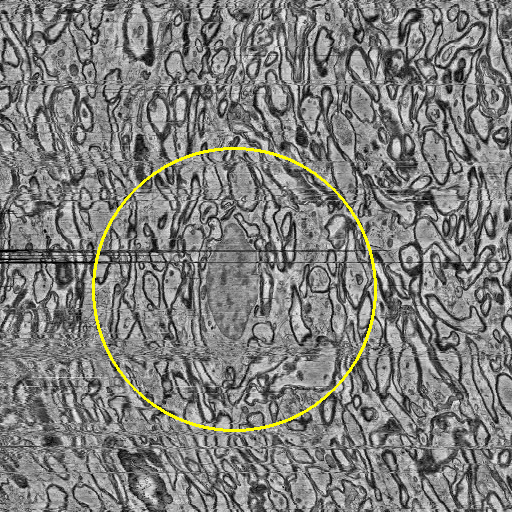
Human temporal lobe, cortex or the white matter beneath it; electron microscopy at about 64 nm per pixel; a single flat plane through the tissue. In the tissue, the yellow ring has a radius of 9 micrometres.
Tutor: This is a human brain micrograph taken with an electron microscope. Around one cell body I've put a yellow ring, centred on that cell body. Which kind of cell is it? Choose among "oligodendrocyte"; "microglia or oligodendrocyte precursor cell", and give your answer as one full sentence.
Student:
Going by your list, the cell centred in the yellow ring is an oligodendrocyte.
